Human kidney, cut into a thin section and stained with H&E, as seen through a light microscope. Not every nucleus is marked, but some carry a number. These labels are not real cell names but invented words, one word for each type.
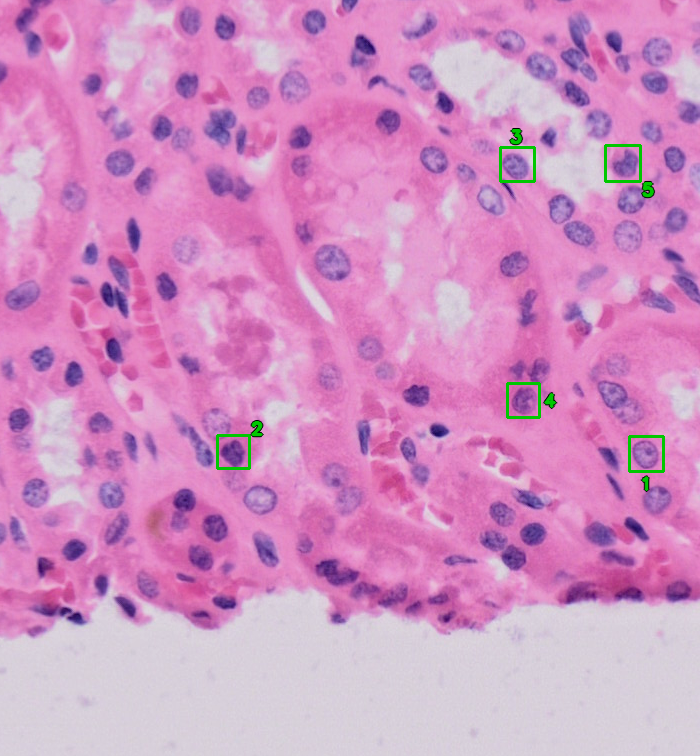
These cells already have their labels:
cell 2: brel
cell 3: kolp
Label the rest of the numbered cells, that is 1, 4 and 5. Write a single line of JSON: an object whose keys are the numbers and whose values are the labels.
{"1": "brel", "4": "brel", "5": "kolp"}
